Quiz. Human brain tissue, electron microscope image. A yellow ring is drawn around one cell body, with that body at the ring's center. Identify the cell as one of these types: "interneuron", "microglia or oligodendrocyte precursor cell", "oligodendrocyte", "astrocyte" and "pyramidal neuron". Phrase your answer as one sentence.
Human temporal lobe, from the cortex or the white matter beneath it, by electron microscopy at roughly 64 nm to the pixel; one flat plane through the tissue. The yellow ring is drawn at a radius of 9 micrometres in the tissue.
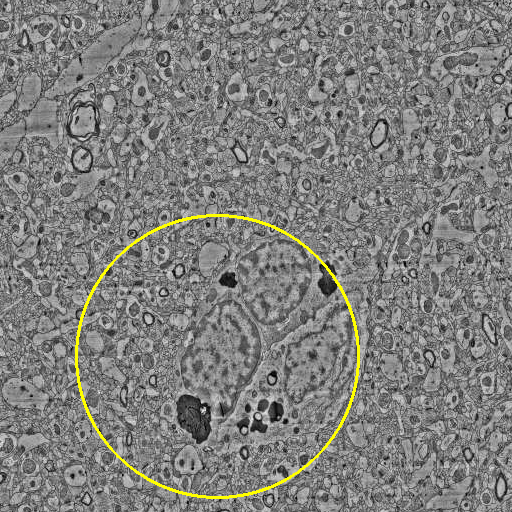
At the center of the ring sits an oligodendrocyte.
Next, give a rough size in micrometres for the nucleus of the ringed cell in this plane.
The nucleus works out at approximately 7 by 5 micrometres in this plane.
